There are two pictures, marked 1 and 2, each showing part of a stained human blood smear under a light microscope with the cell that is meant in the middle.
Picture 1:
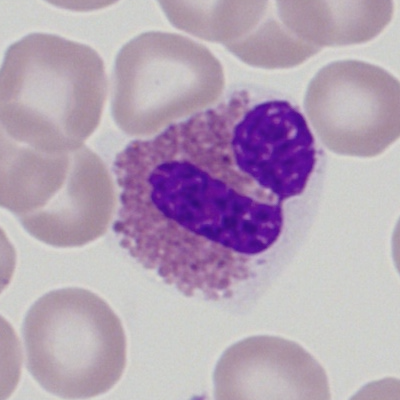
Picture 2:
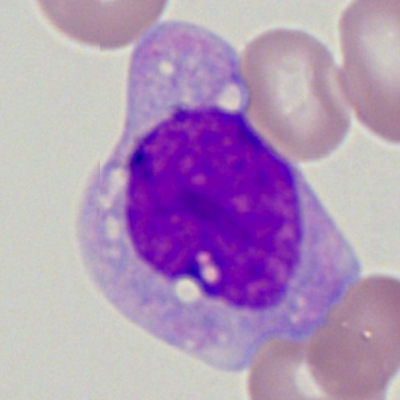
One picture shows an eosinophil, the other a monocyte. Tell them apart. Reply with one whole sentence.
In picture 1 the cell is an eosinophil; in picture 2, a monocyte.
